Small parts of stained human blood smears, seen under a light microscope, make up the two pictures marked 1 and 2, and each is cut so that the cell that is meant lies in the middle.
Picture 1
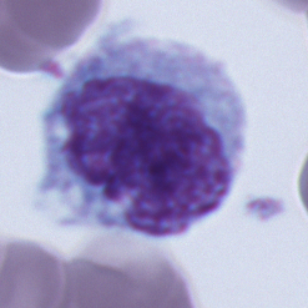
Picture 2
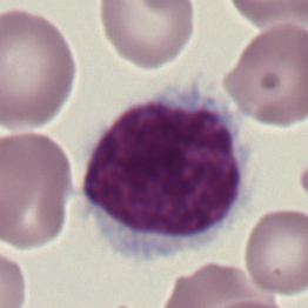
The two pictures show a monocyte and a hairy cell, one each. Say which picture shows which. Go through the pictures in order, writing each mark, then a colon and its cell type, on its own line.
1: monocyte
2: hairy cell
